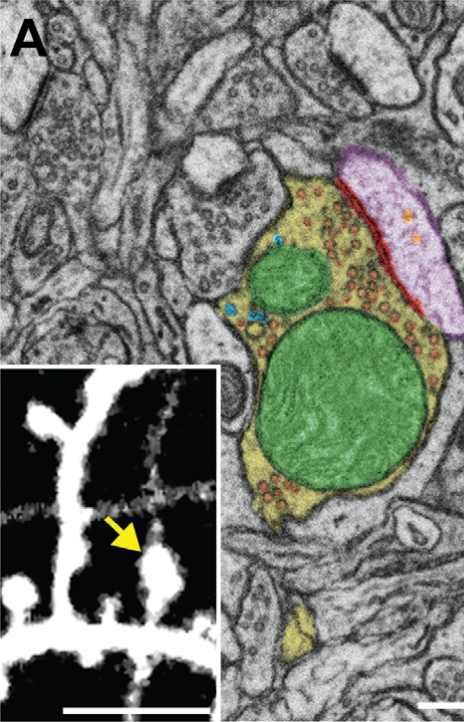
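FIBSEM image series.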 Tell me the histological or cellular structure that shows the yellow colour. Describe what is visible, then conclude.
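A yellow-shaded profile packed with small vesicles and two mitochondria. It is apposed to the pink profile across a dense membrane.
Answer: axonal bouton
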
